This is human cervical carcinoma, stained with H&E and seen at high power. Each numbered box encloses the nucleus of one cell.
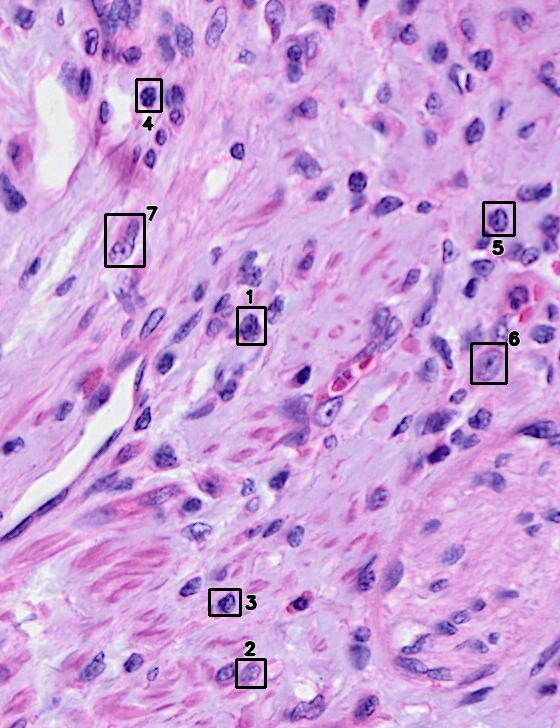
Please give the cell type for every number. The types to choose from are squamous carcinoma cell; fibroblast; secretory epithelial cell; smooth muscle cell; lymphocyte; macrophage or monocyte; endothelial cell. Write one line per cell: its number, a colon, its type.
1: lymphocyte
2: smooth muscle cell
3: lymphocyte
4: lymphocyte
5: lymphocyte
6: endothelial cell
7: macrophage or monocyte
